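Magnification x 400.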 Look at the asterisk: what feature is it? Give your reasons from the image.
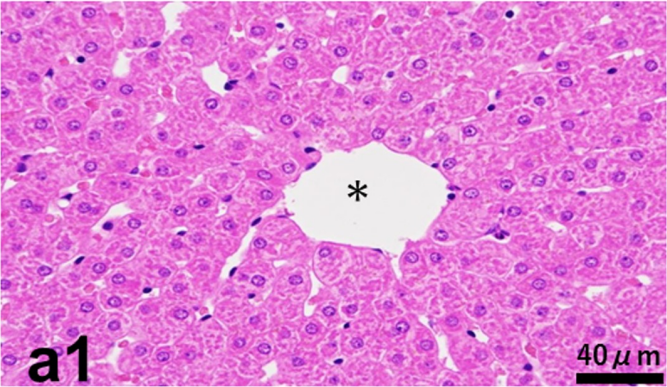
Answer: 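The asterisk lies in a large round empty lumen in the middle of the field. Cords of polygonal cells radiate outward from the lumen. The lumen is lined by a thin layer of flattened cells. The answer: central vein.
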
